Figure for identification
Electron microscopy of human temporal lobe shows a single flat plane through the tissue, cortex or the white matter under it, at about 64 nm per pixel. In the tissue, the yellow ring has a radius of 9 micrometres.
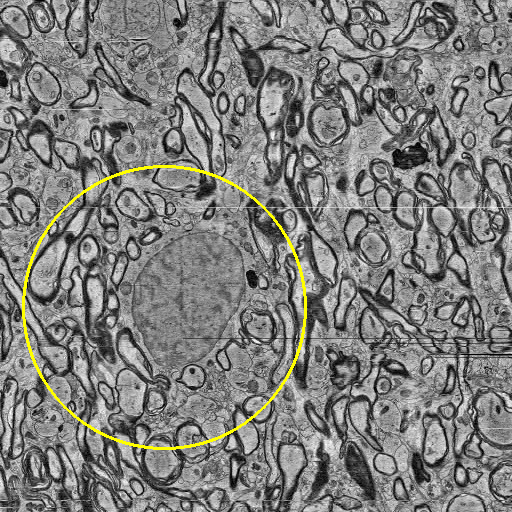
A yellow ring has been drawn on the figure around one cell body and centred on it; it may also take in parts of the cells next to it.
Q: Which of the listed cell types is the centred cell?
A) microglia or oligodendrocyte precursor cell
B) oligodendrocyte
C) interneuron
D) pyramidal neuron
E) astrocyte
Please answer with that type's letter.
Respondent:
B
